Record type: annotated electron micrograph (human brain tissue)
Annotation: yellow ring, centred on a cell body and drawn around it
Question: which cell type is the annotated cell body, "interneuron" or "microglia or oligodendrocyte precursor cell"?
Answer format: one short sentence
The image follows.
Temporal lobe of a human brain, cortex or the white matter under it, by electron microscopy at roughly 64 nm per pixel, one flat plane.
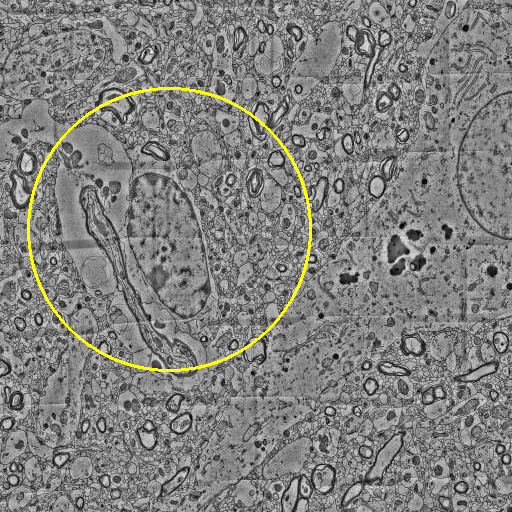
The annotated cell body is that of a microglial cell or oligodendrocyte precursor cell.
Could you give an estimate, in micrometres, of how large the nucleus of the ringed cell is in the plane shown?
In this plane the nucleus is clearly longer than it is wide, at approximately 10 by 5 micrometres.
